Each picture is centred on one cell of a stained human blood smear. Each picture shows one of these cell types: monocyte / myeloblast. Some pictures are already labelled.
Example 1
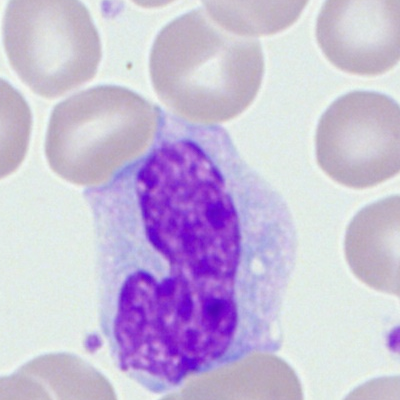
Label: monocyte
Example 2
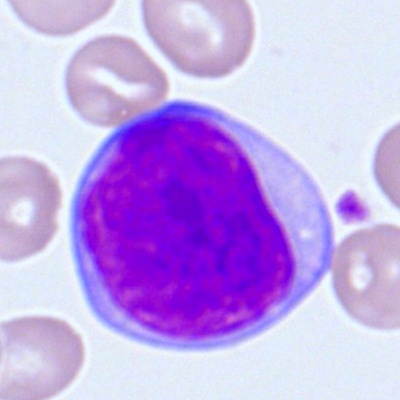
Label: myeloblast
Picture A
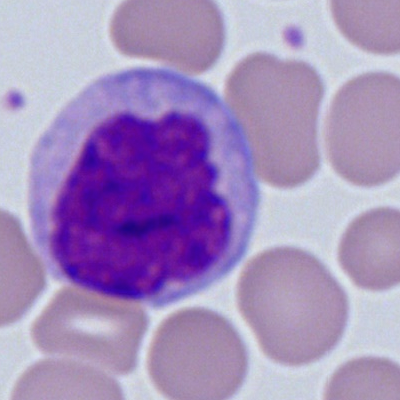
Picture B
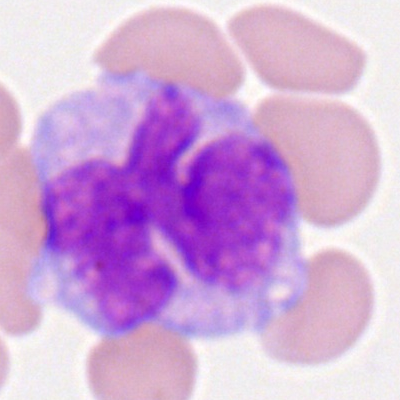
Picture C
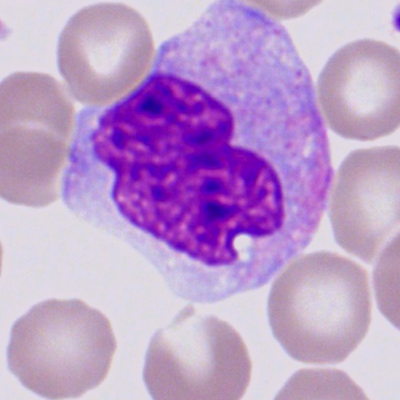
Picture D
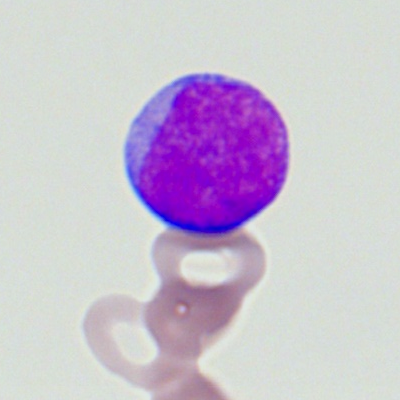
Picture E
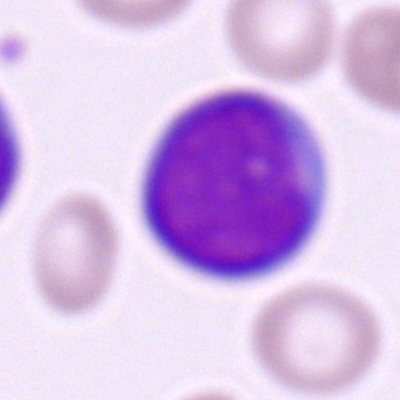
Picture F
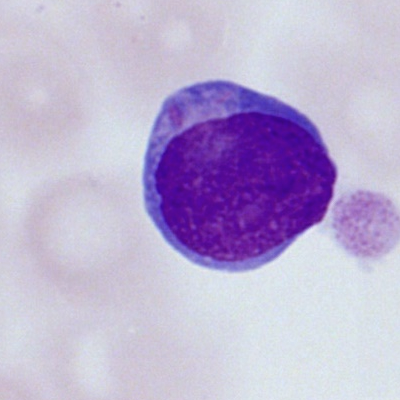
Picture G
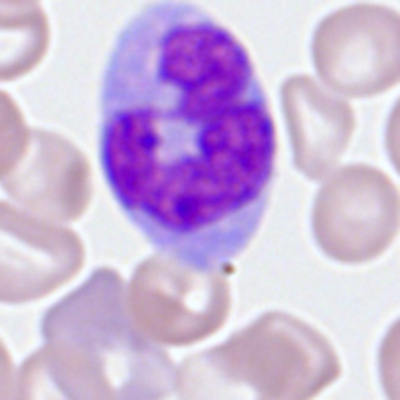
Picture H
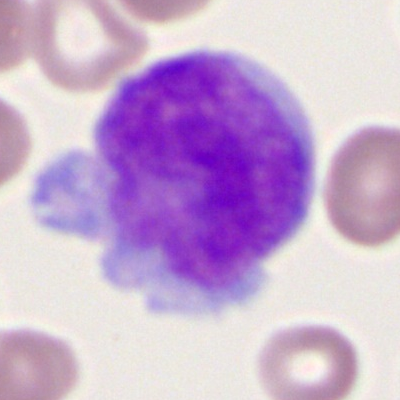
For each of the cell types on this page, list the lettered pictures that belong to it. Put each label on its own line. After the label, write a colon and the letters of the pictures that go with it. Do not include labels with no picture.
monocyte: A, B, C, G
myeloblast: D, E, F, H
